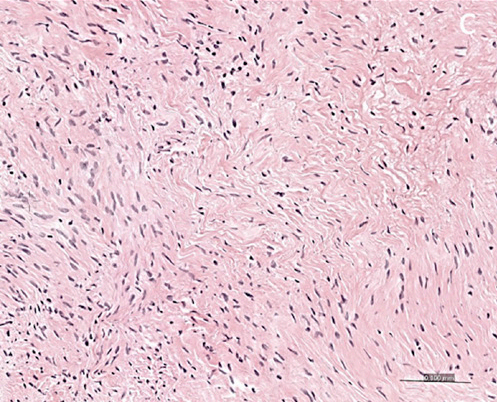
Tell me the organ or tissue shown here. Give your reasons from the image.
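Heavily collagenized areas. Abundant pale pink fibrillary extracellular material fills most of the field. Spindle-shaped nuclei lie widely spaced within the pink matrix.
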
